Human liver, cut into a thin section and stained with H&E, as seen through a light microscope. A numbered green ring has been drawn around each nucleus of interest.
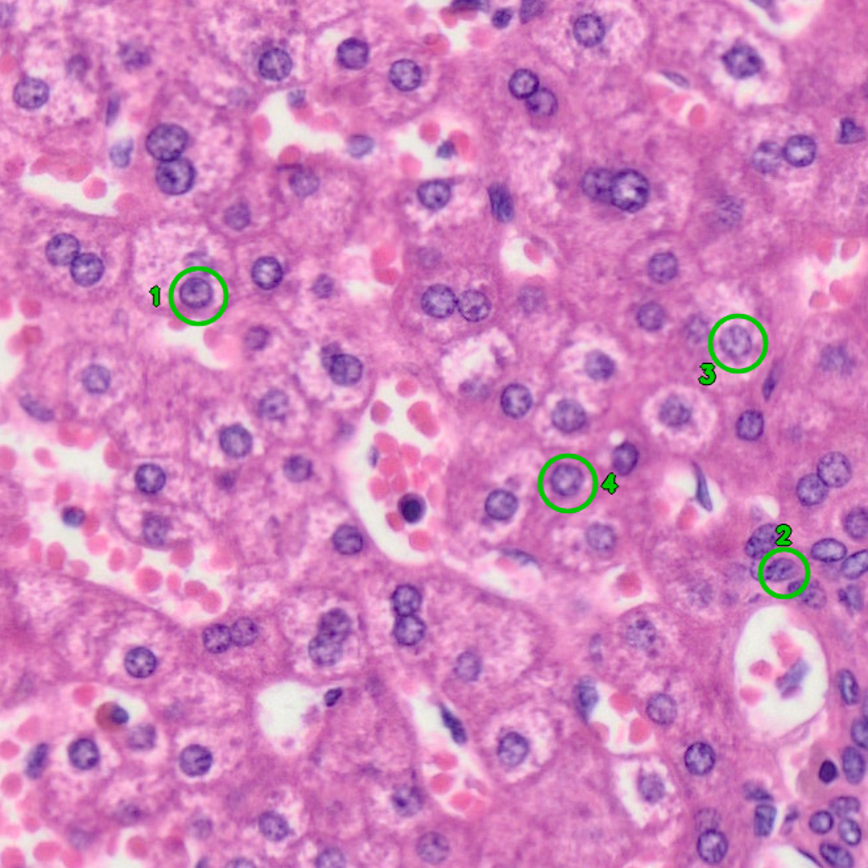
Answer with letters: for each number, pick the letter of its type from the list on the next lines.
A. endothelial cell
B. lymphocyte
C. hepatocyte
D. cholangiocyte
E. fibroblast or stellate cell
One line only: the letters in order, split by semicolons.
C; D; C; C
